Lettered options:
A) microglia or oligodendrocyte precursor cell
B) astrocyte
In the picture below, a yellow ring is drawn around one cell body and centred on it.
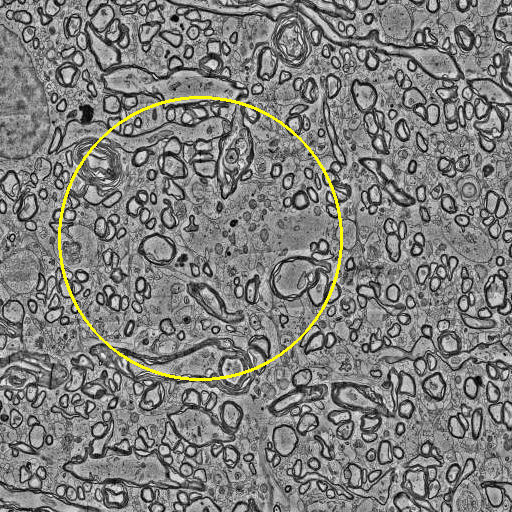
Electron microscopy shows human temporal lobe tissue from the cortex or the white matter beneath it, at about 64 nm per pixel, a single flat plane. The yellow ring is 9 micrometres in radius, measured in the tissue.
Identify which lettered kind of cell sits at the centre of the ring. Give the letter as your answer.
B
